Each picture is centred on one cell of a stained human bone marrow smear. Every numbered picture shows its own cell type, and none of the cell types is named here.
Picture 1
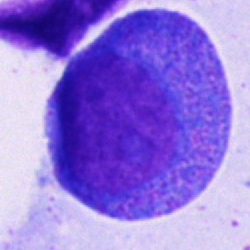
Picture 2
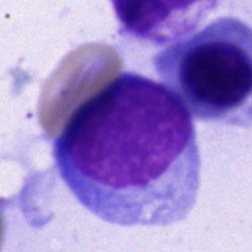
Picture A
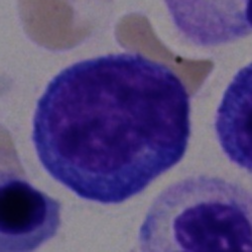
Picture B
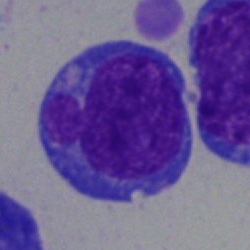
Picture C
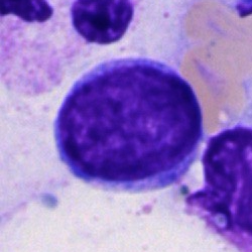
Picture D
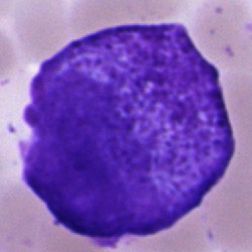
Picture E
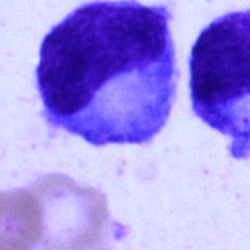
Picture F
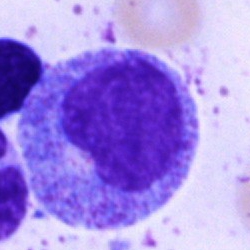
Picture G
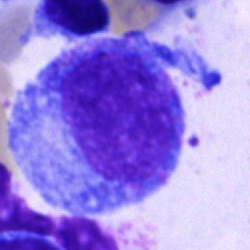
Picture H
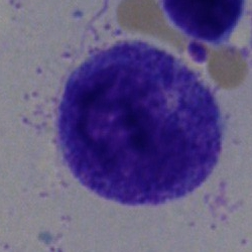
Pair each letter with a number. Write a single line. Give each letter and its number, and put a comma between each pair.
A 2, B 2, C 2, D 2, E 1, F 1, G 1, H 1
